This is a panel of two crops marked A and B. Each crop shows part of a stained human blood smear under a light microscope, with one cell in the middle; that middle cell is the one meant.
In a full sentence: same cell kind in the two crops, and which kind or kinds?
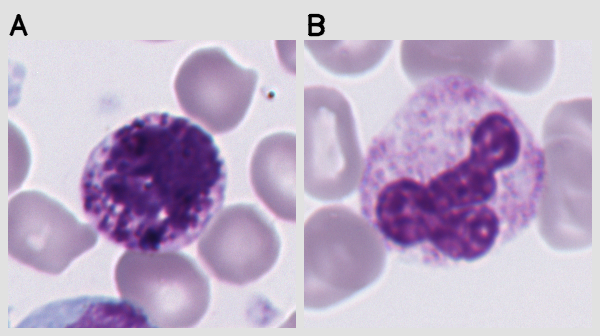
No: a basophil sits in crop A, and a neutrophil sits in crop B.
